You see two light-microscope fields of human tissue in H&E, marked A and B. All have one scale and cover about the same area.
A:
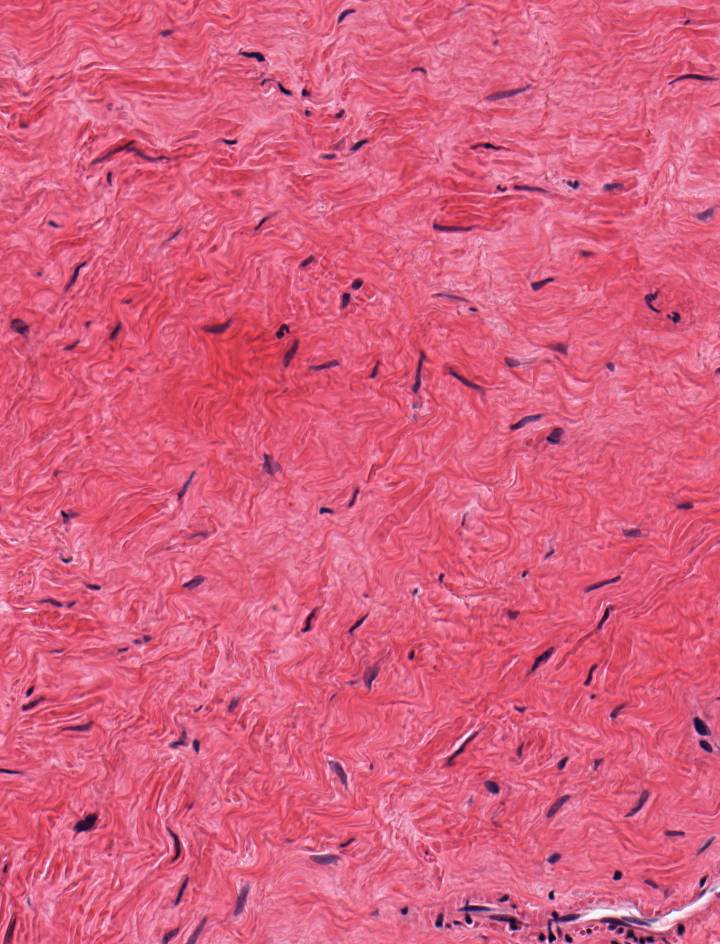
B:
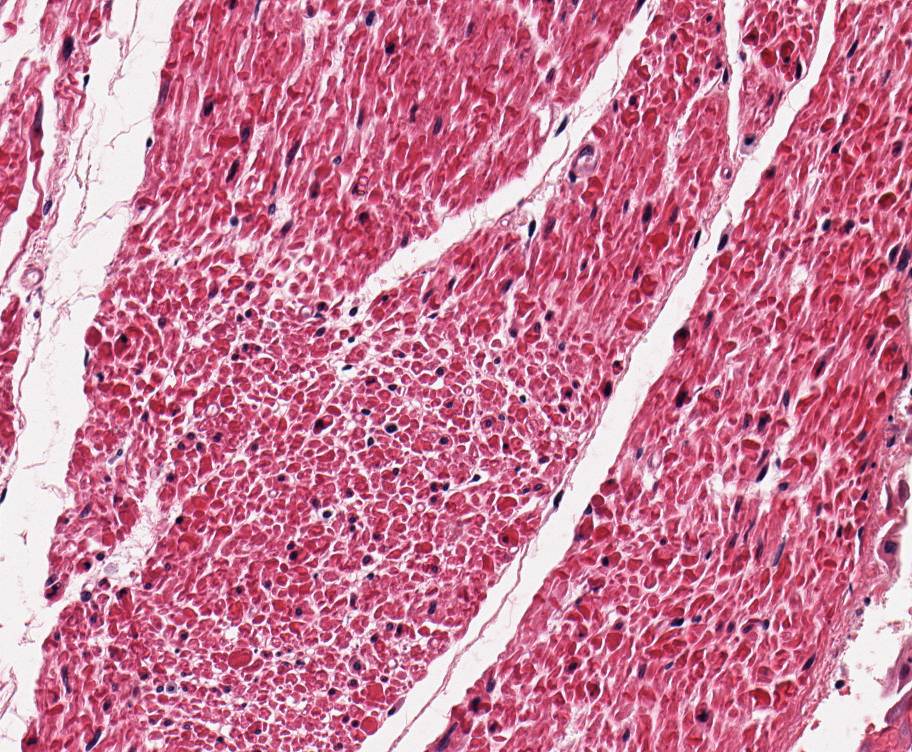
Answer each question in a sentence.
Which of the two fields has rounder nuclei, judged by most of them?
On the whole the nuclei of picture B are rounder than those of picture A.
